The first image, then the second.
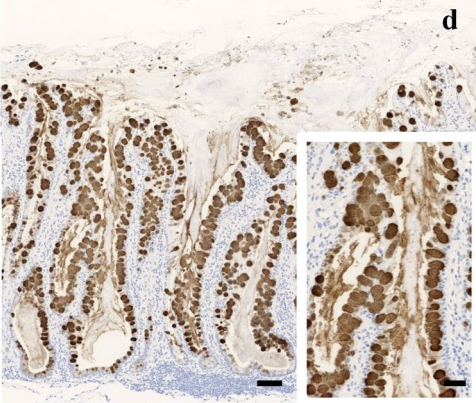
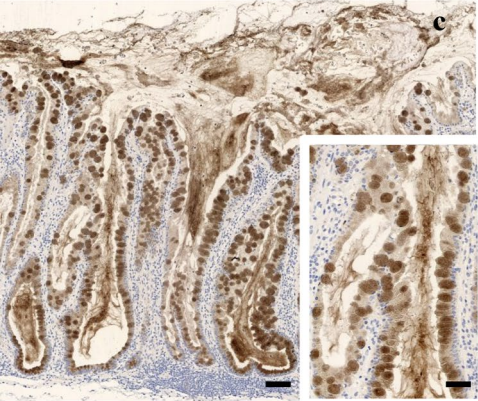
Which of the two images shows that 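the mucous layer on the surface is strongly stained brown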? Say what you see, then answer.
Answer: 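First image: the surface mucous material is pale with only faint brown. Second image: the surface mucous material is stained a dense brown. That points to this answer: the second image.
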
